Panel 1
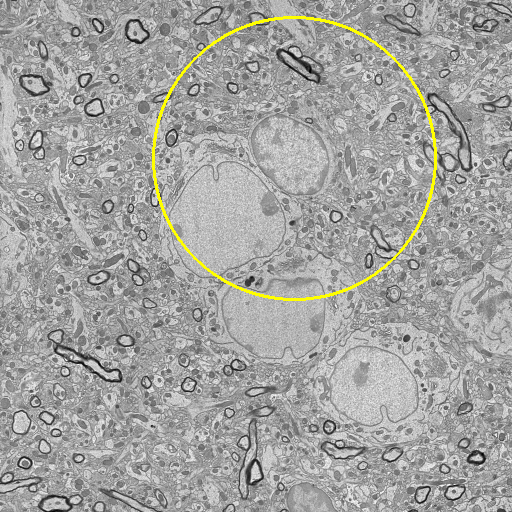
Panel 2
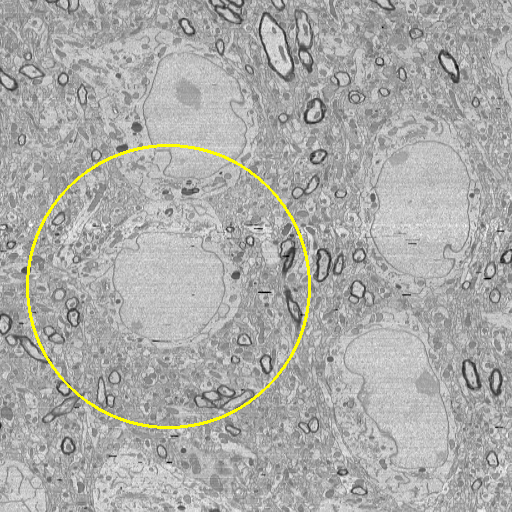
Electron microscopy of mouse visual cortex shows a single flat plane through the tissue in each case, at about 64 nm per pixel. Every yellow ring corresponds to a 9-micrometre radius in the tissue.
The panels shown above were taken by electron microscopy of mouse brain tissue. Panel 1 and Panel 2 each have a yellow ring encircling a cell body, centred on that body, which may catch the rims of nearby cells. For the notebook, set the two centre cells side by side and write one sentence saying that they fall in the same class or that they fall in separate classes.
The centred cells of Panel 1 and Panel 2 fall in separate classes.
